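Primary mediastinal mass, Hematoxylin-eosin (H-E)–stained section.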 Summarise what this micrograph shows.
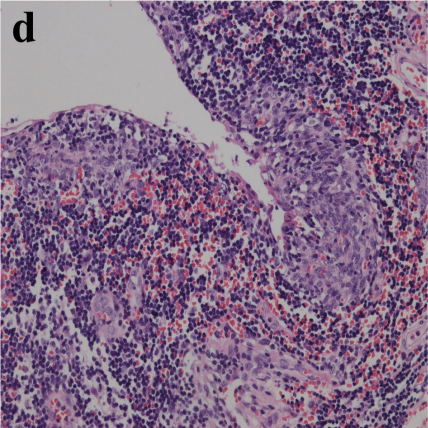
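Paler pink zones hold elongated cells with oval to spindle-shaped, lightly stained nuclei and pale eosinophilic cytoplasm, arranged in loose streams and small rounded clusters. Around and between these zones lie dense sheets of small round lymphocytes with dark, compact purple nuclei and little cytoplasm, mixed with scattered red blood cells. The contrast between pale spindle-cell nodules and dark lymphoid background gives a mottled, micronodular pattern.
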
